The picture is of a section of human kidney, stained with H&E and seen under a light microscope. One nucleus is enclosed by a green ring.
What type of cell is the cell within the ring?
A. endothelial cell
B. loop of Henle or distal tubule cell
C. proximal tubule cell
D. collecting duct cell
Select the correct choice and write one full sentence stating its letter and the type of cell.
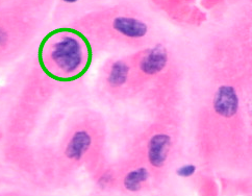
Option C gets it right, as the cell within the ring is a proximal tubule cell.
